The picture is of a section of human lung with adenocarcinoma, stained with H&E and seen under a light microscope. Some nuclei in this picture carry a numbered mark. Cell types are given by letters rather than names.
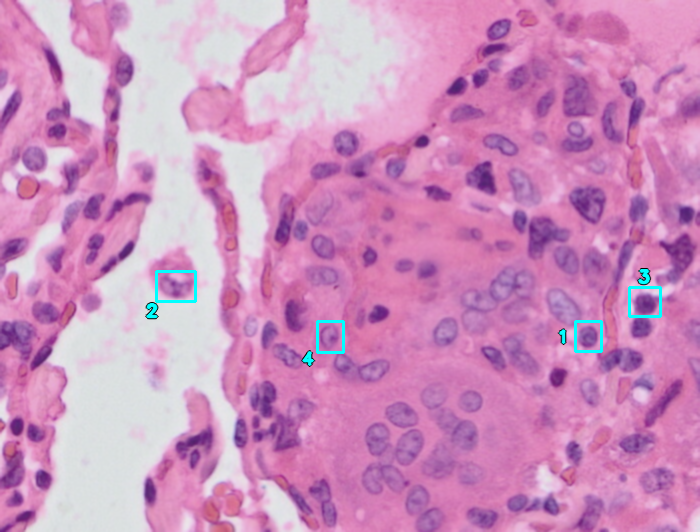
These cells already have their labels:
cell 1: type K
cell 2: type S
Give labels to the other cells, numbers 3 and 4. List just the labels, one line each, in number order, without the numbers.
type K
type S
